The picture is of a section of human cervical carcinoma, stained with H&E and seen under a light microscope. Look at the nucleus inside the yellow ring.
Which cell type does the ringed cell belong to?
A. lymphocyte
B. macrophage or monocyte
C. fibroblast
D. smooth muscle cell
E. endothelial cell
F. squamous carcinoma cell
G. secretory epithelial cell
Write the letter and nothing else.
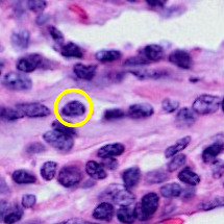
A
